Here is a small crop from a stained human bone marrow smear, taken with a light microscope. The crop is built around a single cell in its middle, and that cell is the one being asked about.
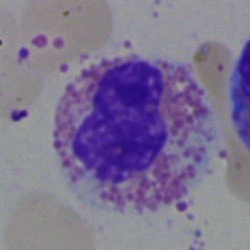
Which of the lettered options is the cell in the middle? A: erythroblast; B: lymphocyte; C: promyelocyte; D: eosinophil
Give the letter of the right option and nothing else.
D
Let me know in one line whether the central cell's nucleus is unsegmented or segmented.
Counting the nuclear lobes gives a total of at least two.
